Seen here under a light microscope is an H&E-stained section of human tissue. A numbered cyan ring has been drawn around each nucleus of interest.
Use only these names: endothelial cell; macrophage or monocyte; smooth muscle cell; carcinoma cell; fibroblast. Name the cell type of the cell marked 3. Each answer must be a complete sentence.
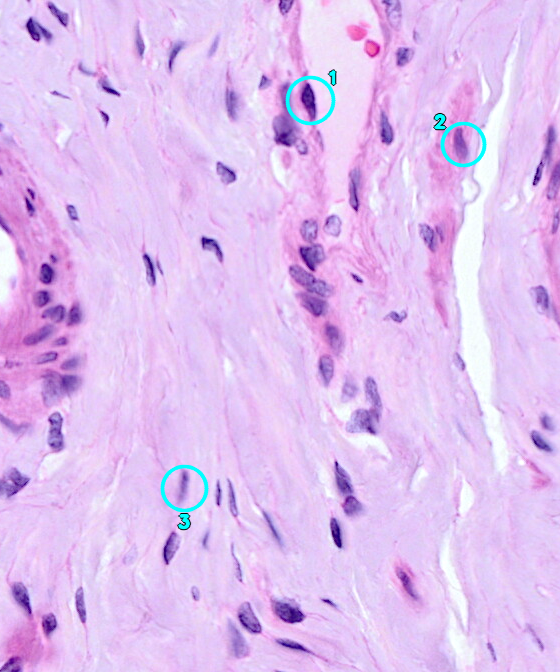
The correct label for cell 3 is a fibroblast.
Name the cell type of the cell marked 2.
The cell that is numbered 2 is a smooth muscle cell.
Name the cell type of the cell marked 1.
In the marked set, the cell given number 1 is an endothelial cell.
